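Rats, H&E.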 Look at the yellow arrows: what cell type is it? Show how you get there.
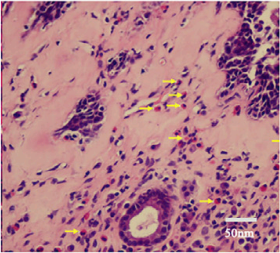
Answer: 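Scattered single cells with reddish-pink cytoplasm lie in a pale, loose pink stroma. The yellow arrows point to these reddish cells.
Conclusion: eosinophils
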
